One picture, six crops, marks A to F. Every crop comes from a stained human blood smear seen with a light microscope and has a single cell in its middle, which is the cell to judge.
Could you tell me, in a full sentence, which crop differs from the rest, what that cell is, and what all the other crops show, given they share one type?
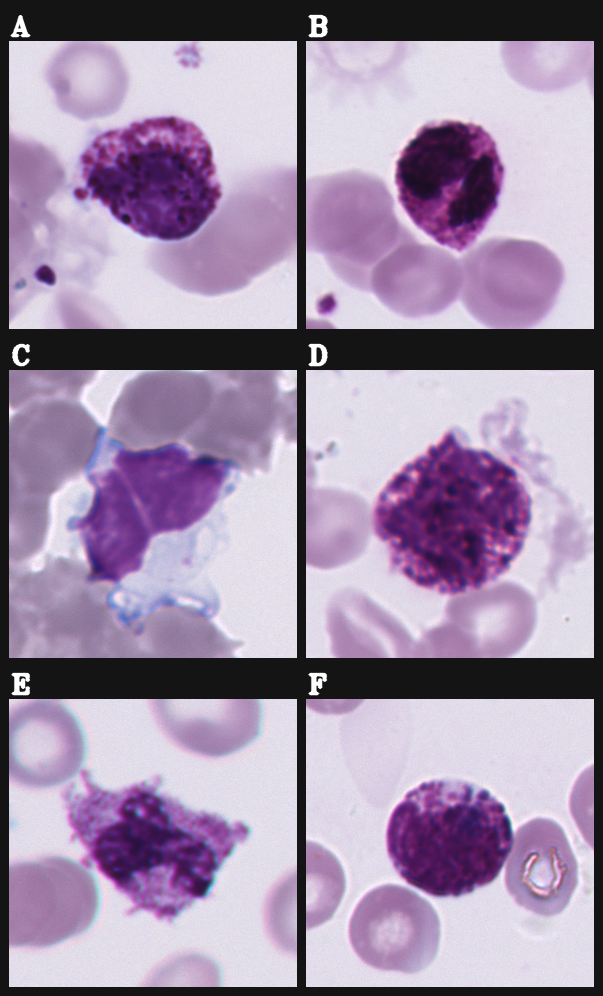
Whereas the other crops all show basophils, crop C shows a typical lymphocyte.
